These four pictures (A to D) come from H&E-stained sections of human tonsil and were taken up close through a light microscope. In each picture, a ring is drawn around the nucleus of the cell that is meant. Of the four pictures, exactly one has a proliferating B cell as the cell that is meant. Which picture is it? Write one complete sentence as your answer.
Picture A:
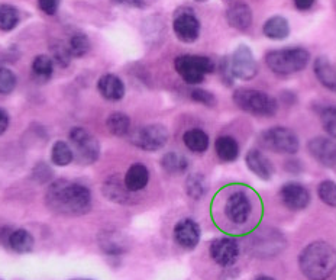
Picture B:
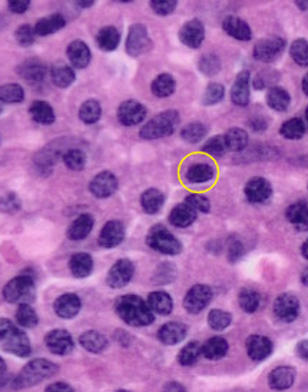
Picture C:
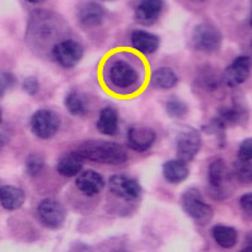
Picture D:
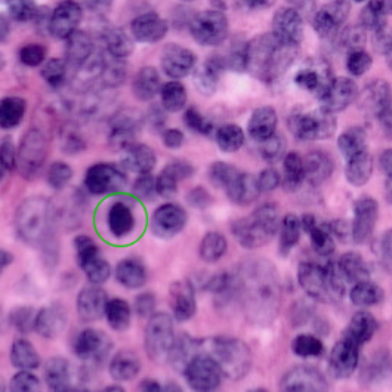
The proliferating B cell is the one in picture D.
